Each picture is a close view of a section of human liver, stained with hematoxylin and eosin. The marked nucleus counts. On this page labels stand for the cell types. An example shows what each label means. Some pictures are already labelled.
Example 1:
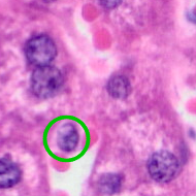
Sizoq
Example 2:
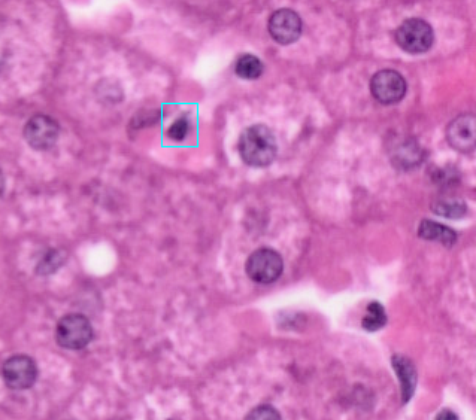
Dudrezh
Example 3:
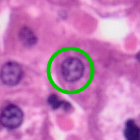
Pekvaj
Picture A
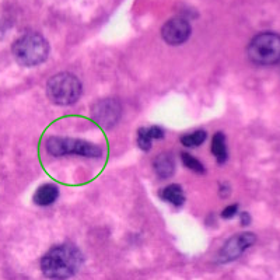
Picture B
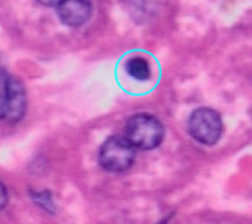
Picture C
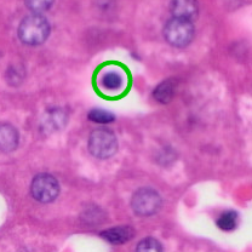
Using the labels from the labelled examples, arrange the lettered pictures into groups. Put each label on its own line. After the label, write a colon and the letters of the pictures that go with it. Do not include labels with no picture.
Sizoq: A
Dudrezh: B, C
